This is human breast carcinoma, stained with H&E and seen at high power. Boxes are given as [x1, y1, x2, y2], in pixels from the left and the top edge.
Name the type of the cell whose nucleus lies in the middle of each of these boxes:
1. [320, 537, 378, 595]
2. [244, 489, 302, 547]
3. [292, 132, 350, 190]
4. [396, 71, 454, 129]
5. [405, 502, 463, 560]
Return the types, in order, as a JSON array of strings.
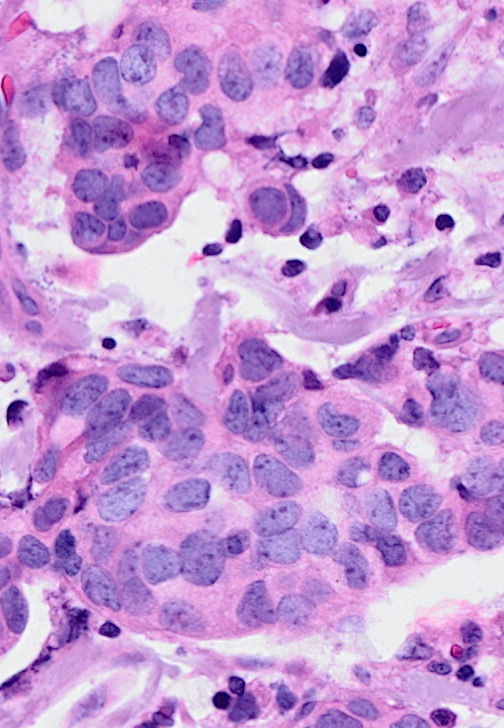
["carcinoma cell", "carcinoma cell", "lymphocyte", "fibroblast", "carcinoma cell"]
